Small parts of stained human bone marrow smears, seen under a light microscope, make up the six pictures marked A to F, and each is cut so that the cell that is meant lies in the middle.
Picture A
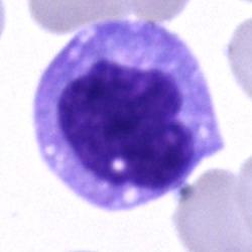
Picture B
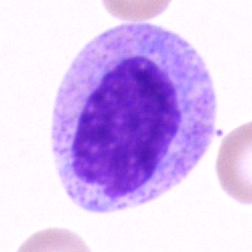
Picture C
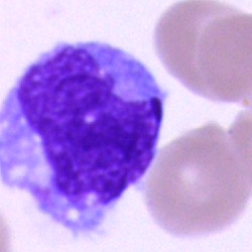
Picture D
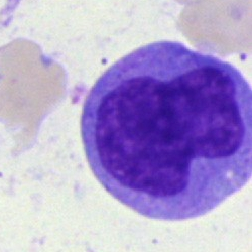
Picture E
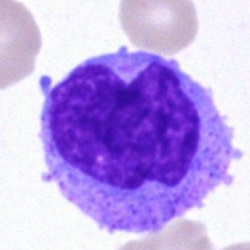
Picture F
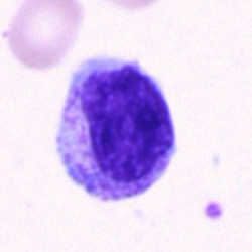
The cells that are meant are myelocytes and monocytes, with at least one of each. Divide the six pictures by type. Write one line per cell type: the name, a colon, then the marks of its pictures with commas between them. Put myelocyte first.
myelocyte: B, F
monocyte: A, C, D, E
